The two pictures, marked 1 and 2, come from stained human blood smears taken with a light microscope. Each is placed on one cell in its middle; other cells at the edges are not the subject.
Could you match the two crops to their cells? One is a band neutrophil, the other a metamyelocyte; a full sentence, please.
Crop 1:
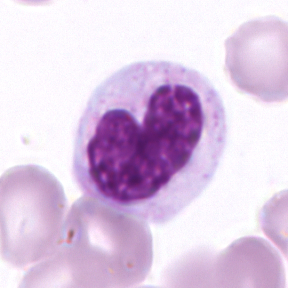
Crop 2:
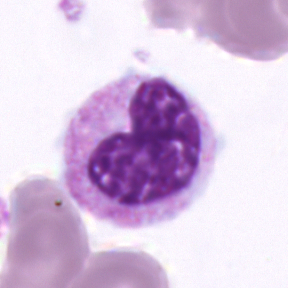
The middle cell in crop 1 is a band neutrophil; the middle cell in crop 2 is a metamyelocyte.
